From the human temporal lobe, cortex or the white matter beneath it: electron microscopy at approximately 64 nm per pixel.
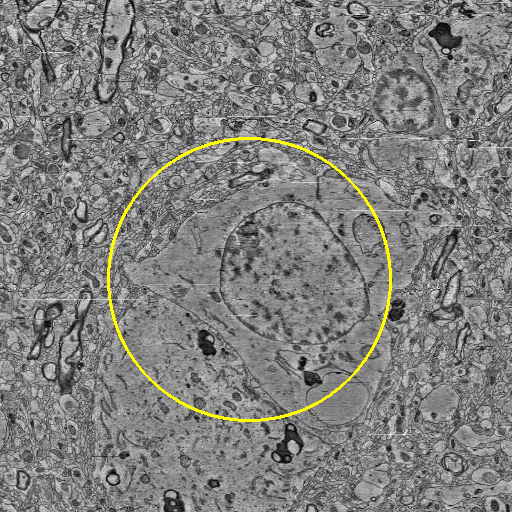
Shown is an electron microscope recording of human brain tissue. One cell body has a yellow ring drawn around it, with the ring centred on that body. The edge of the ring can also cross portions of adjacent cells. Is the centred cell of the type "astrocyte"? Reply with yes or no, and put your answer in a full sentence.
Yes, in the picture, the cell on which the ring is centred has this type.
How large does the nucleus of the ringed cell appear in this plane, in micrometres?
Roughly 10 micrometers across in this plane.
